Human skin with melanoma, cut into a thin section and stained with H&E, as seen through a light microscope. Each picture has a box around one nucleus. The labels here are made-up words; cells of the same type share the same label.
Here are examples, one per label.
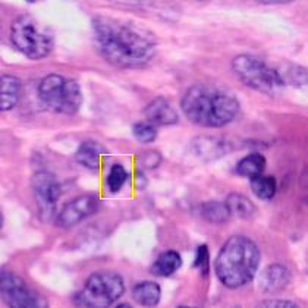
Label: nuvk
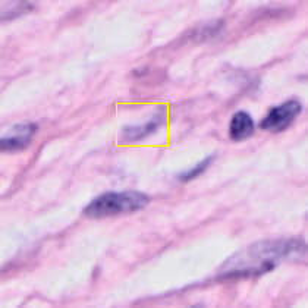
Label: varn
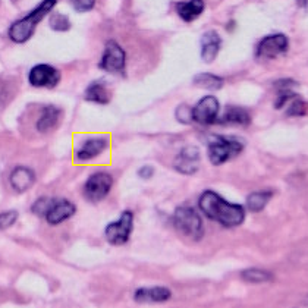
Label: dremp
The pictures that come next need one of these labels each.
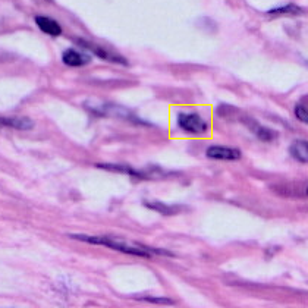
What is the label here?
nuvk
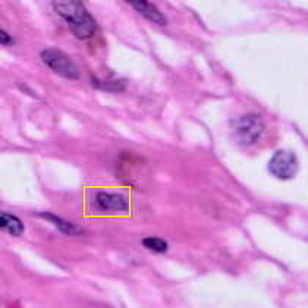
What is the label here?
dremp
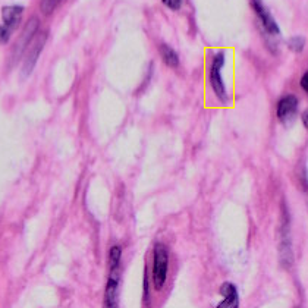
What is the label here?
varn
